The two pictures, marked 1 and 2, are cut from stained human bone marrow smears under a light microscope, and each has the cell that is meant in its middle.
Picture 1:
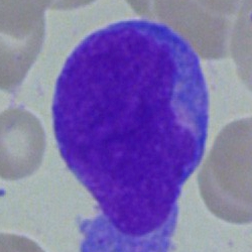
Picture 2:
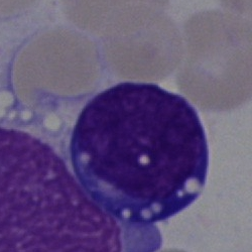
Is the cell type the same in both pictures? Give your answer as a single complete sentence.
Yes; the cells in both pictures are blasts.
